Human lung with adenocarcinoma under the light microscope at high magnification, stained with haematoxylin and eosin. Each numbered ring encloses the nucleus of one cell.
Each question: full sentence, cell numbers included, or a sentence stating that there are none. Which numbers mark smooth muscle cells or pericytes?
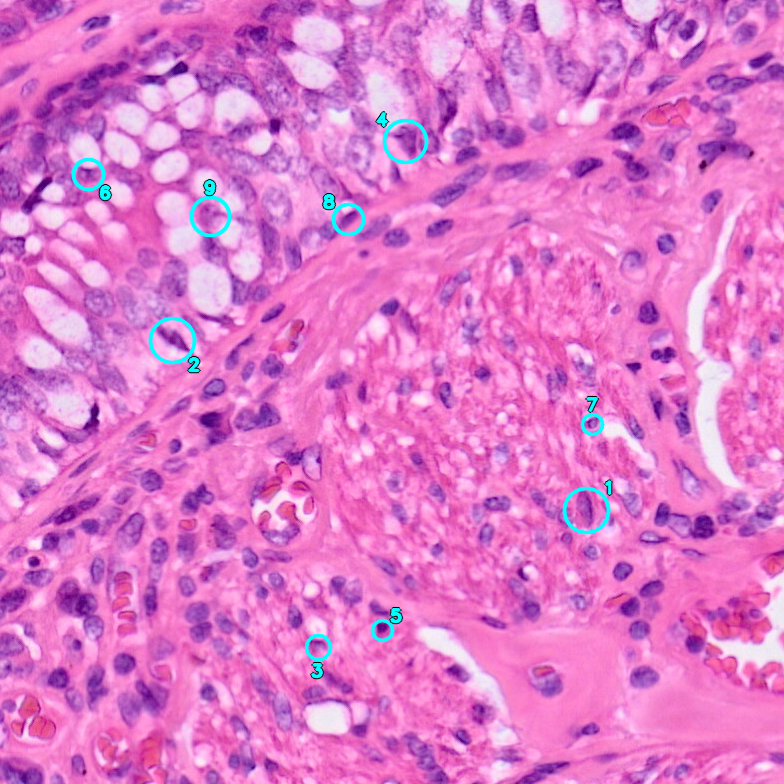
In this section, the cells numbered 1, 3, 5 and 7 are smooth muscle cells or pericytes.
